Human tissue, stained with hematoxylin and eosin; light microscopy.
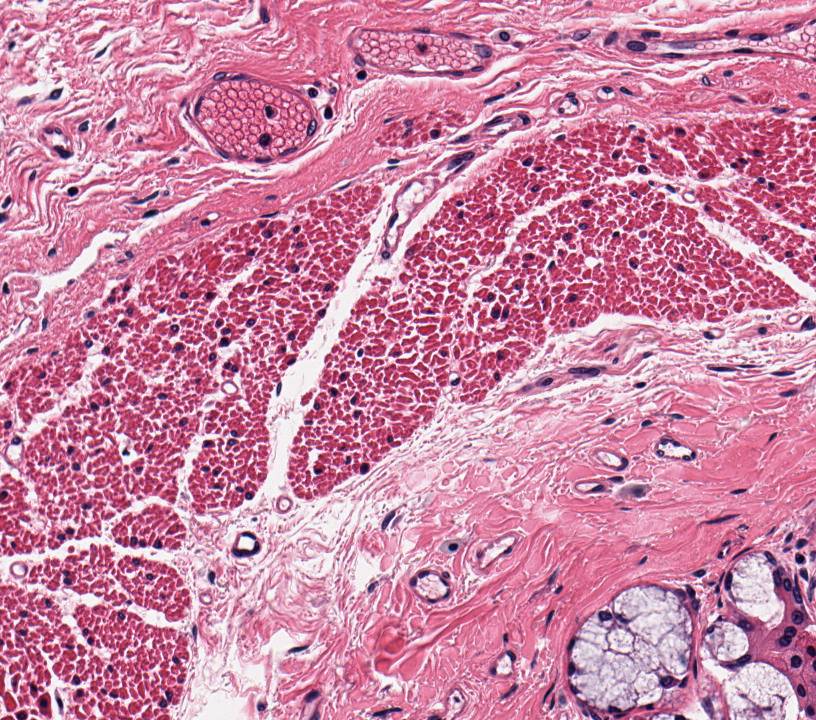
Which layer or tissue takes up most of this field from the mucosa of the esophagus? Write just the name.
smooth muscle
